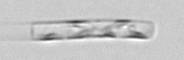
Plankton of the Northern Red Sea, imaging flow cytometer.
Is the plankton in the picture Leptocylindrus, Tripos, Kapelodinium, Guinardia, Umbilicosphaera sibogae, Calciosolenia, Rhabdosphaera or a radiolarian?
It is Leptocylindrus.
